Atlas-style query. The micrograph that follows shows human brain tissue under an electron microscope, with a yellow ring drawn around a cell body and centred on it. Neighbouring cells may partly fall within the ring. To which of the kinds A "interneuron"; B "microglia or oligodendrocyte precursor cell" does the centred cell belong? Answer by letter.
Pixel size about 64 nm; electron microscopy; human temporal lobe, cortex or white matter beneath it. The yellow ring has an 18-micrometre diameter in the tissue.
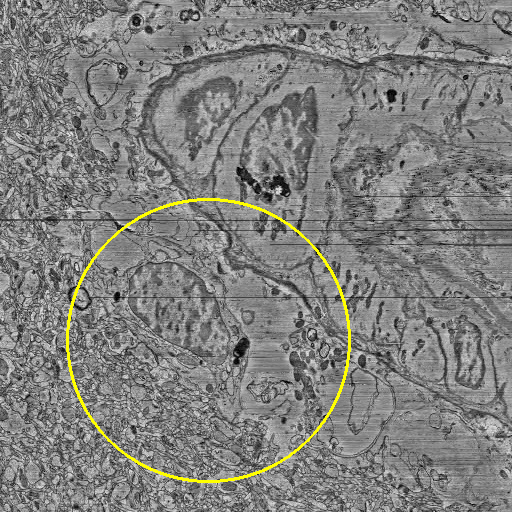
B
